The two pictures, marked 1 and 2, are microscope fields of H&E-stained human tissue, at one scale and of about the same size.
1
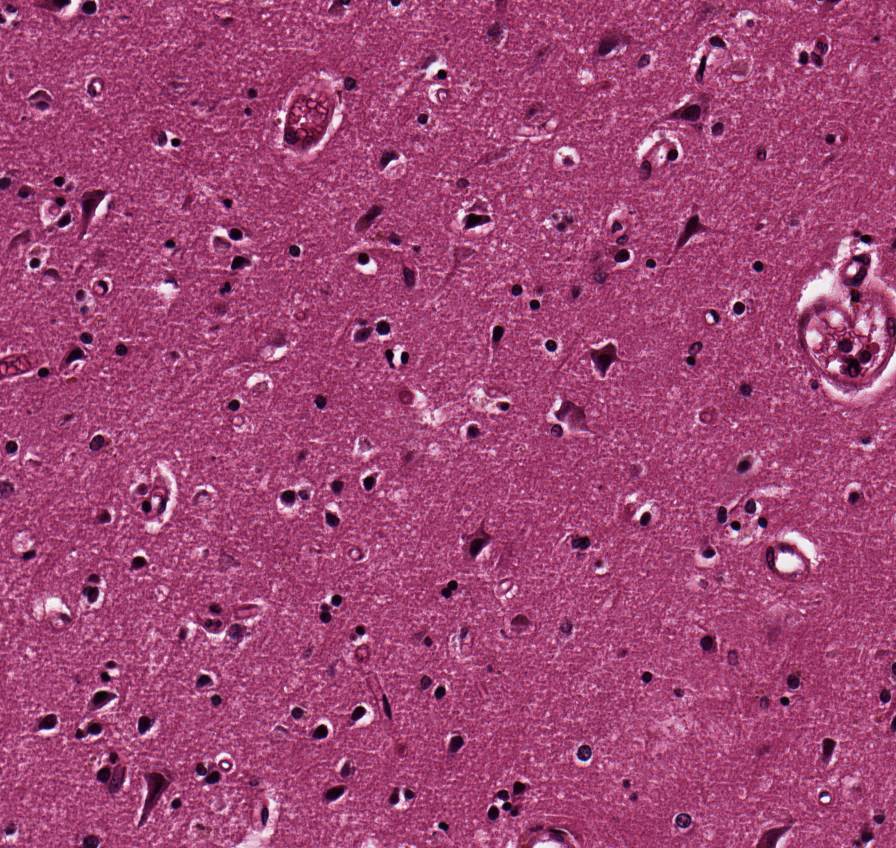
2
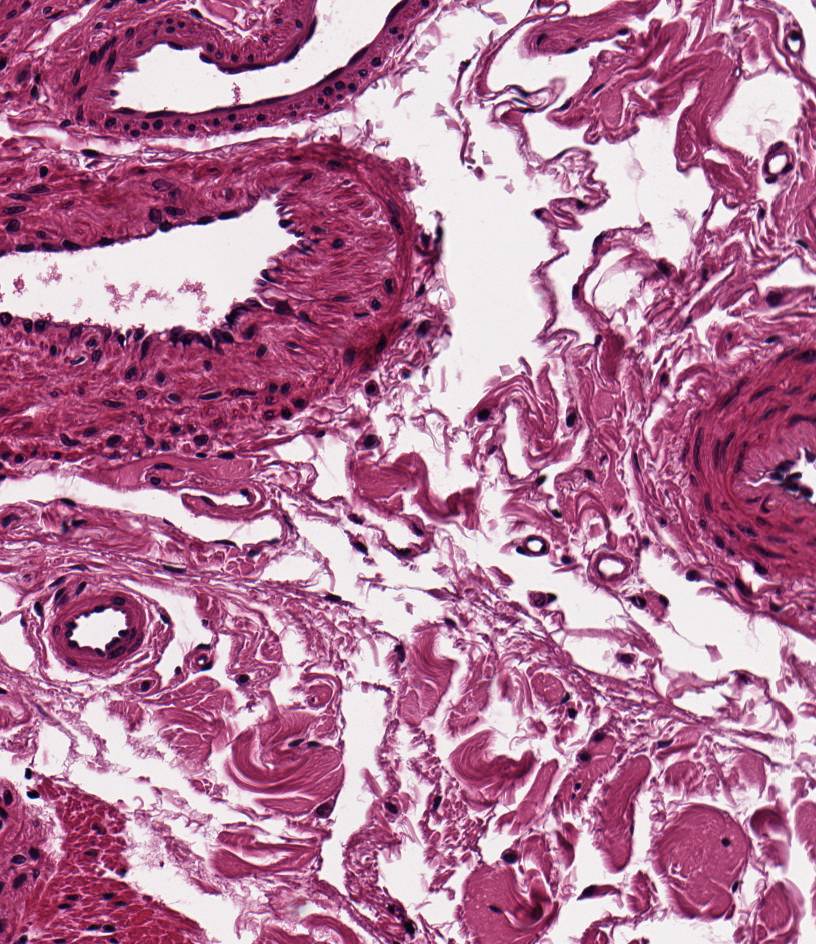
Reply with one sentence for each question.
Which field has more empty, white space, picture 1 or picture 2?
Unstained space takes up more of picture 2 than of picture 1.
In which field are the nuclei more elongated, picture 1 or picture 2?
On the whole the nuclei of picture 2 are more drawn out than those of picture 1.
